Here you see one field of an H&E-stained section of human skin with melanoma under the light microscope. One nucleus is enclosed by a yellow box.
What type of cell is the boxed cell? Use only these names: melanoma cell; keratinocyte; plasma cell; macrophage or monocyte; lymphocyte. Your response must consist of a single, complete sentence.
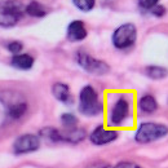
In this tissue sample, the boxed cell is a lymphocyte.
